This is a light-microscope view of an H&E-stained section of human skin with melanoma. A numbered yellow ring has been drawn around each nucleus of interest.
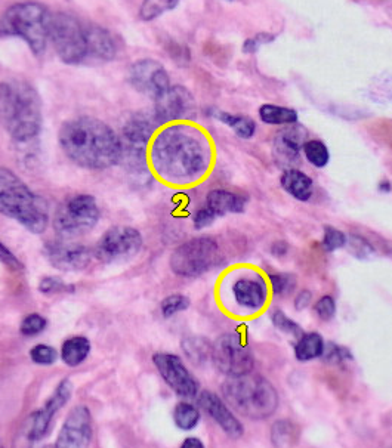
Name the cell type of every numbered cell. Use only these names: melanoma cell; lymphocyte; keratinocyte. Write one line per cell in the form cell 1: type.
cell 1: lymphocyte
cell 2: melanoma cell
